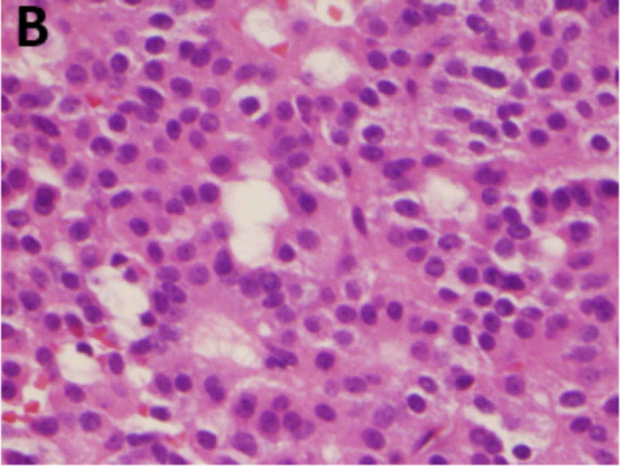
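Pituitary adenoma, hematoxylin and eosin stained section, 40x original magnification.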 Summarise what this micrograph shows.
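The nuclei are round to oval, similar in size, and stained purple. The cytoplasm is pale pink, and the borders between neighbouring cells are indistinct. Scattered clear spaces and a few red blood cells lie among the cells.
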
